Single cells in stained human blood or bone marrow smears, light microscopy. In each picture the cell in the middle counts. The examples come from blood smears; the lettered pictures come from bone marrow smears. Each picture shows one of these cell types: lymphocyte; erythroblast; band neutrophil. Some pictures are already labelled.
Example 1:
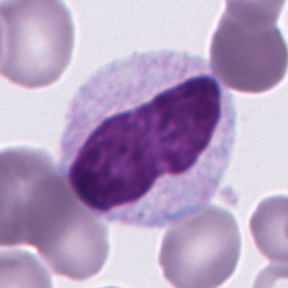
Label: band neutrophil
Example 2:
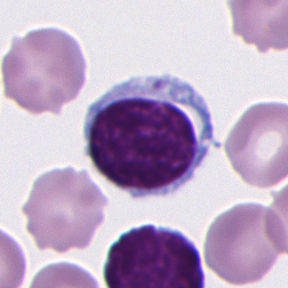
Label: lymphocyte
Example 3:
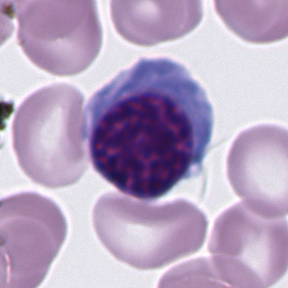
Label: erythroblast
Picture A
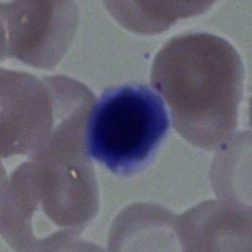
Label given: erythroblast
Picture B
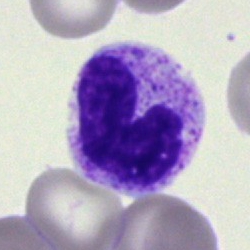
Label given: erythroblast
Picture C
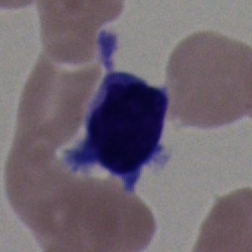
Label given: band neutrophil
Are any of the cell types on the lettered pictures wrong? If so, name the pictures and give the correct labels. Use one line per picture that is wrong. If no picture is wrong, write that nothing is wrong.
B: not erythroblast but band neutrophil
C: not band neutrophil but lymphocyte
